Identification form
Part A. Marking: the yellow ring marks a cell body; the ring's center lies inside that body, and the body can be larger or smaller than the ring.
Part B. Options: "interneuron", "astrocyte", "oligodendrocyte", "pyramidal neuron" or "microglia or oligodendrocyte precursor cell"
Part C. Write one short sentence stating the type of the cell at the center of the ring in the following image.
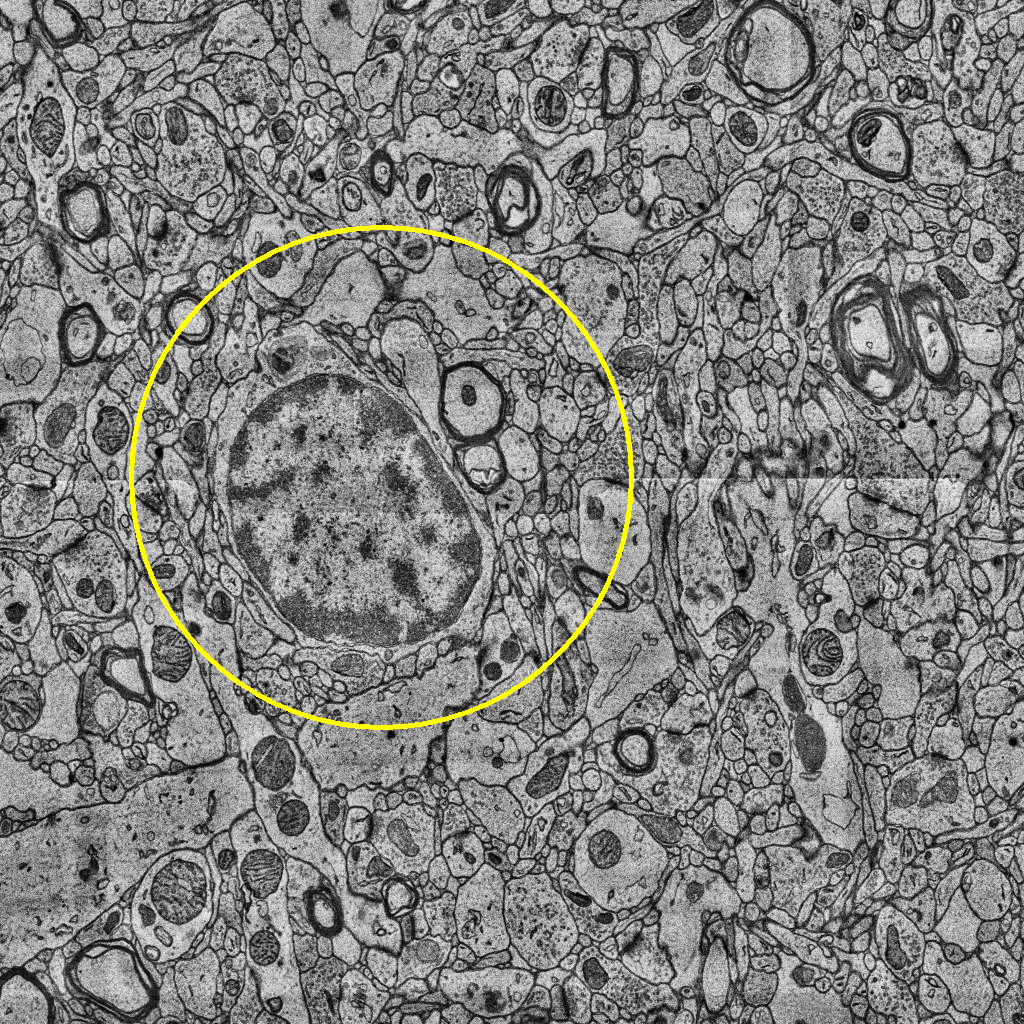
The center of the ring holds a microglial cell or oligodendrocyte precursor cell.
